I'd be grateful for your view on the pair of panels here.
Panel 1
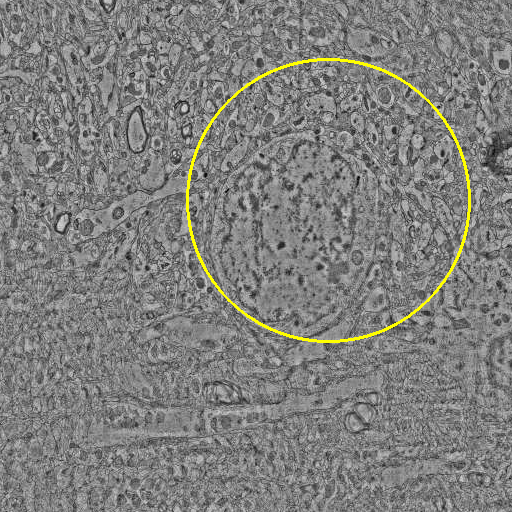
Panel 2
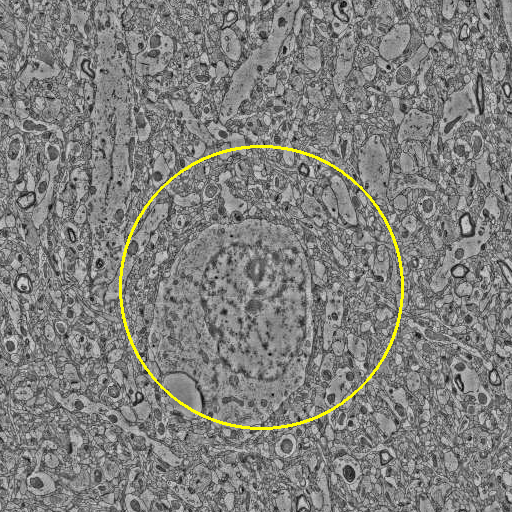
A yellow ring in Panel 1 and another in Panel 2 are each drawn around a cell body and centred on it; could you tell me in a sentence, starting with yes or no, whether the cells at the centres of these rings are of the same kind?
Yes, they are the same kind of cell.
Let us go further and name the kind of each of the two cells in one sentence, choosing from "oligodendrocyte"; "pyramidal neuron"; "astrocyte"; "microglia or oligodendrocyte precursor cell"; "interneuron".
Each of the two rings surrounds an interneuron.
